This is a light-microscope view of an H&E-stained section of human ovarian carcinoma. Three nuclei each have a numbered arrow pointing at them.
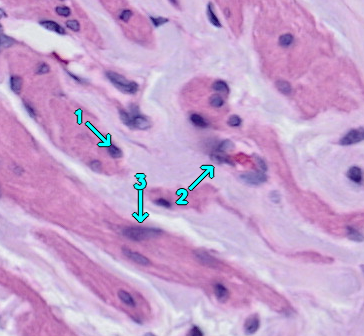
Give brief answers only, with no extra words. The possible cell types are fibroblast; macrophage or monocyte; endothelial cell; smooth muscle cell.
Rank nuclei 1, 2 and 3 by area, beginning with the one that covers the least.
1, 2, 3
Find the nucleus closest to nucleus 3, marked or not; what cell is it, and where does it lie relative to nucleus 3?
a smooth muscle cell below nucleus 3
